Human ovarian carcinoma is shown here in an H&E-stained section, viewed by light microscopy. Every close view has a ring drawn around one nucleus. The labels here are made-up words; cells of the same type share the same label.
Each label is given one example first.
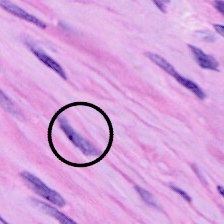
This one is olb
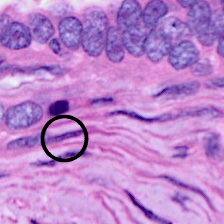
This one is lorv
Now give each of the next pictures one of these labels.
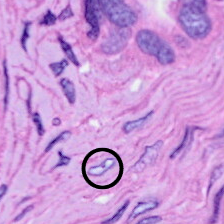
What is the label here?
lorv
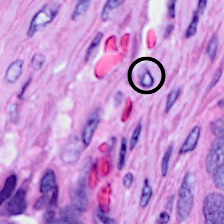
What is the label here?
lorv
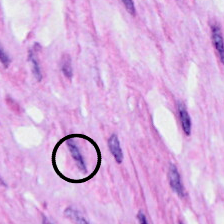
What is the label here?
lorv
